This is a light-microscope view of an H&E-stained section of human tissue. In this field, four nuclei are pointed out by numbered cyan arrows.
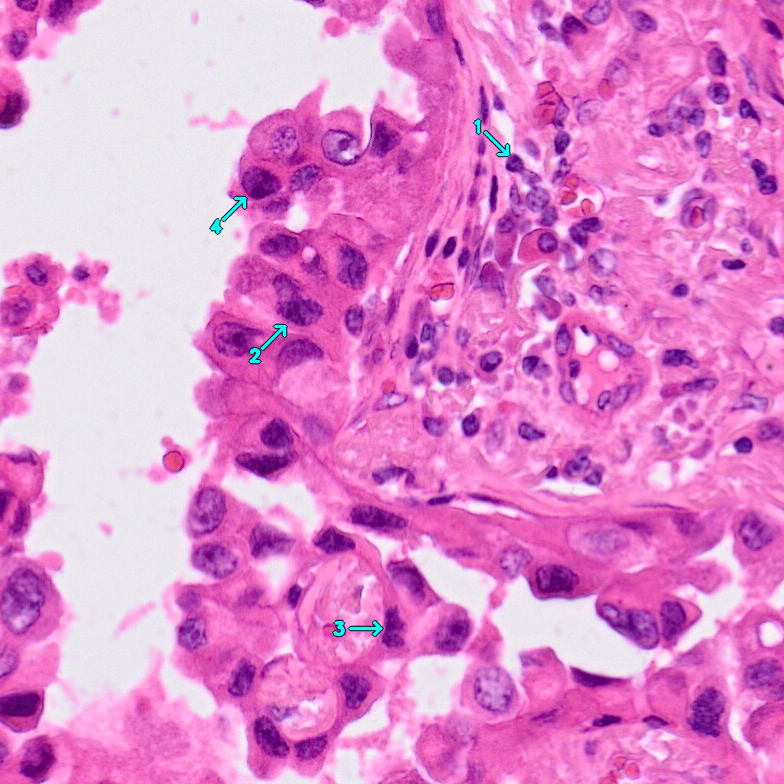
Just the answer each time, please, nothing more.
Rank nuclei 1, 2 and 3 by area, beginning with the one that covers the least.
1, 3, 2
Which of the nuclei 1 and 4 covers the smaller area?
1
